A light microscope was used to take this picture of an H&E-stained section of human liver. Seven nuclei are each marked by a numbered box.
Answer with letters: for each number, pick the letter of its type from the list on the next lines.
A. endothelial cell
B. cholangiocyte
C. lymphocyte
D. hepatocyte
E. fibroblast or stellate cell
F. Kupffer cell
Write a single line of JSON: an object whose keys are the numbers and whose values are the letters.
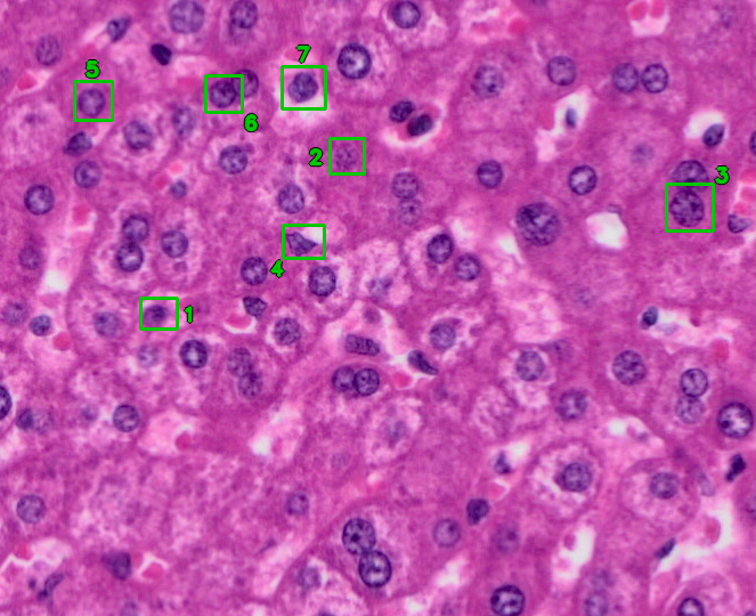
{"1": "F", "2": "D", "3": "D", "4": "A", "5": "D", "6": "D", "7": "F"}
